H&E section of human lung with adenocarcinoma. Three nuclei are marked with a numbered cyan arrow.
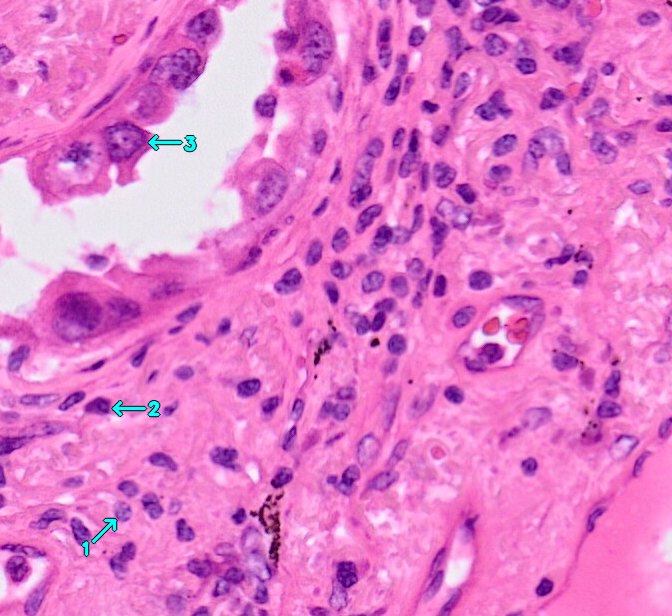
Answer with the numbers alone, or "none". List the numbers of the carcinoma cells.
3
